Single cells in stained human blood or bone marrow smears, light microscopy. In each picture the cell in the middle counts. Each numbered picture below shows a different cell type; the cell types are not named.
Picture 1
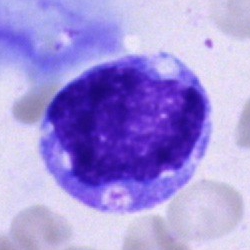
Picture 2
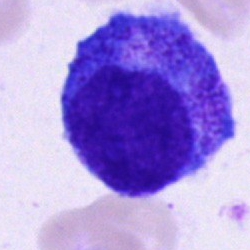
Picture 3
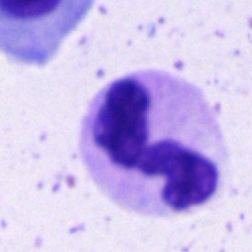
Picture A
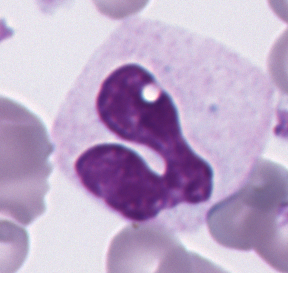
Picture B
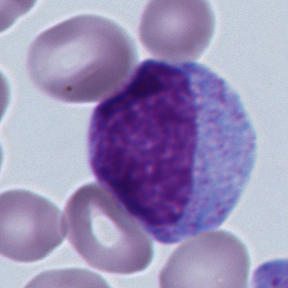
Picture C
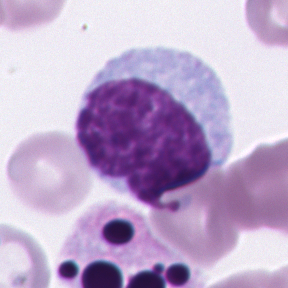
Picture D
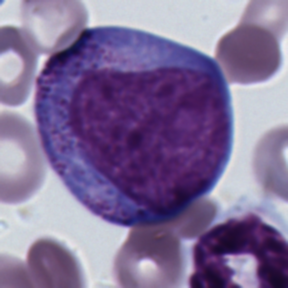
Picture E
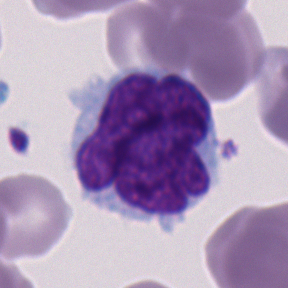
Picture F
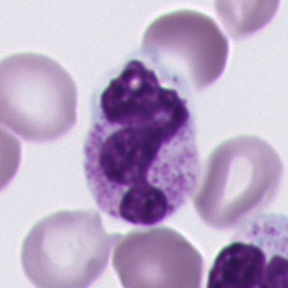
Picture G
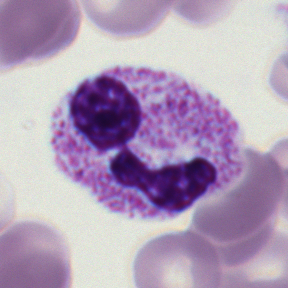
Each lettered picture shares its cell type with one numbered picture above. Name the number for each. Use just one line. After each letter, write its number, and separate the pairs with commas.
A 3, B 2, C 1, D 2, E 1, F 3, G 3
